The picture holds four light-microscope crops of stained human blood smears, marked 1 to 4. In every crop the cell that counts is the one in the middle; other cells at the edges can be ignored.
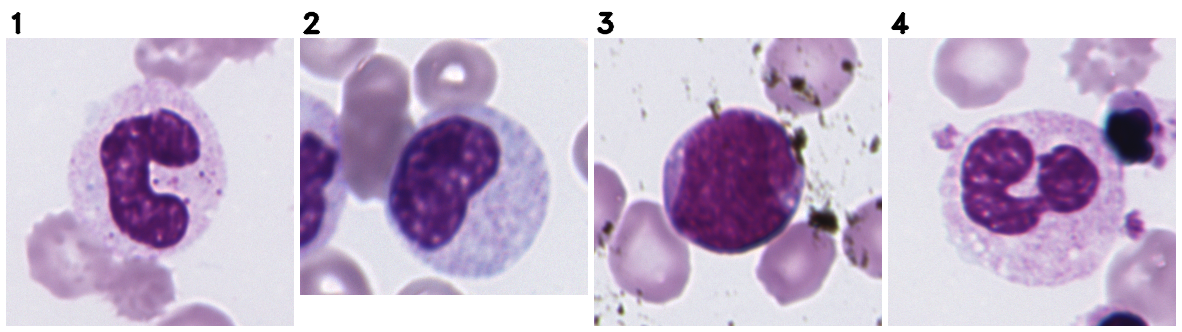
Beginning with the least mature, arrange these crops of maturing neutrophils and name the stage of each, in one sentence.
In ascending order of maturity, the cells are crop 3 (a myeloblast), crop 2 (a metamyelocyte), crop 1 (a band neutrophil) and crop 4 (a segmented neutrophil).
